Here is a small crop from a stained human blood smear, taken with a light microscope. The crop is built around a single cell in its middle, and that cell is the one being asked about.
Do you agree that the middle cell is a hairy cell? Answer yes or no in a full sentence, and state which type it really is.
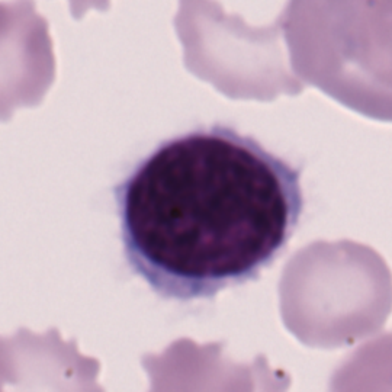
Yes, the cell under consideration, the one in the middle, is a hairy cell.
